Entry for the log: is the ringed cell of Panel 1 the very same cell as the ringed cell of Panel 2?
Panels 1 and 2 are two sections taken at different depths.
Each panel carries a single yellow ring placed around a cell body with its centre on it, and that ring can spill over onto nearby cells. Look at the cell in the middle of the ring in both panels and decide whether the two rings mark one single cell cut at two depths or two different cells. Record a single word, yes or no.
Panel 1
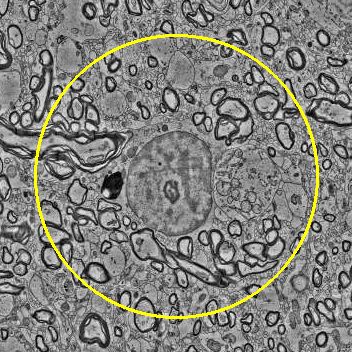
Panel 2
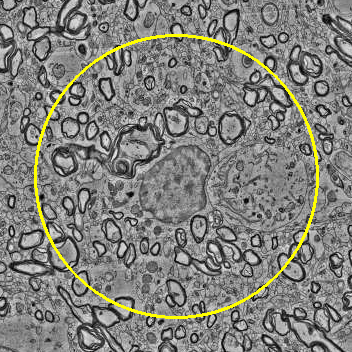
yes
